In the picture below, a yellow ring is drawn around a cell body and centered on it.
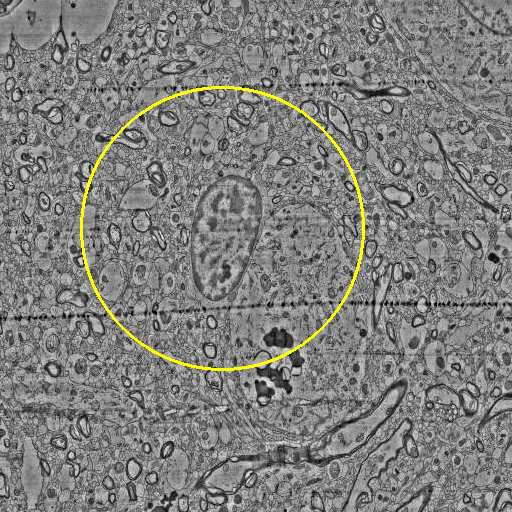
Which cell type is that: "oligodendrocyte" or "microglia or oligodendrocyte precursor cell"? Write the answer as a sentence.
The cell centered in the ring is an oligodendrocyte.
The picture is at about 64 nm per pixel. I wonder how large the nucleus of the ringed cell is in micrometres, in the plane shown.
The nucleus comes to approximately 8 by 4 micrometres and is clearly longer than it is wide in this plane.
